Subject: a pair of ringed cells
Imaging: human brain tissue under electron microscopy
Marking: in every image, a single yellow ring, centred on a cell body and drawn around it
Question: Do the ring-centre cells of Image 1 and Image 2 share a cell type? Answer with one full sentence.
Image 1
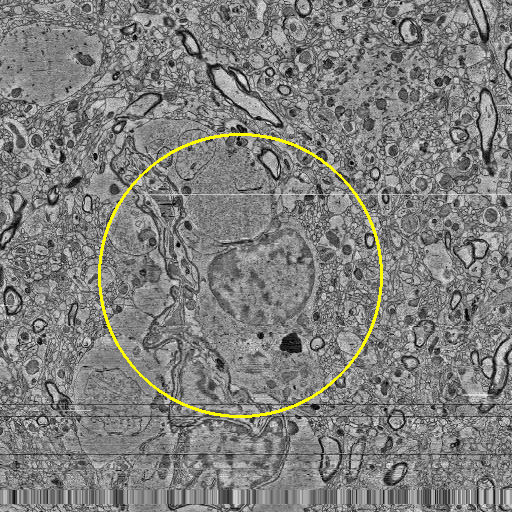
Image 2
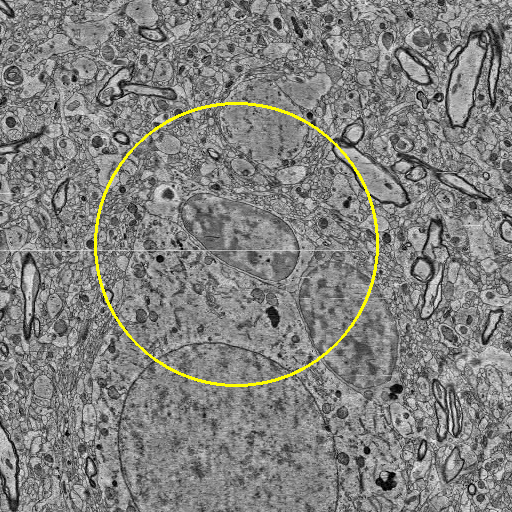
No, at the ring centres in the images sit cells of two separate types.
